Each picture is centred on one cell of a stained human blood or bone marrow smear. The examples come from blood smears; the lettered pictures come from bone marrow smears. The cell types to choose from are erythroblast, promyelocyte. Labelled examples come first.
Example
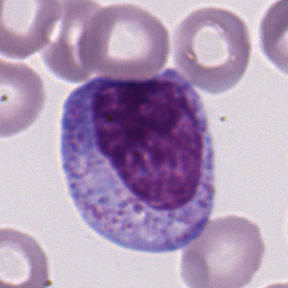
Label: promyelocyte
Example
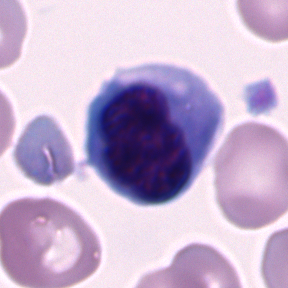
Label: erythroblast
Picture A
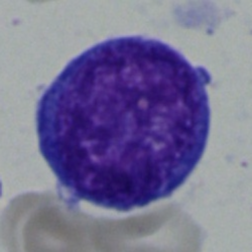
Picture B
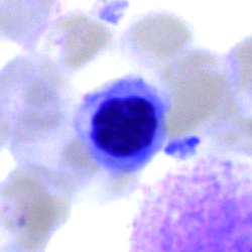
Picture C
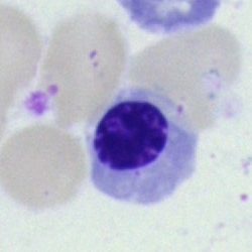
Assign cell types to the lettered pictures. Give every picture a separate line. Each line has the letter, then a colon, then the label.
A: promyelocyte
B: erythroblast
C: erythroblast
